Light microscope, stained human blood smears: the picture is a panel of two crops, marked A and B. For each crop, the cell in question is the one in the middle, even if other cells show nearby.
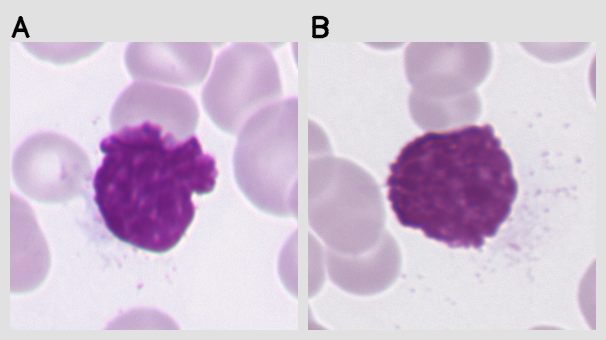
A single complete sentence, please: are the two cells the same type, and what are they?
Yes, the cells that both crops show at the centre are smudge cells.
